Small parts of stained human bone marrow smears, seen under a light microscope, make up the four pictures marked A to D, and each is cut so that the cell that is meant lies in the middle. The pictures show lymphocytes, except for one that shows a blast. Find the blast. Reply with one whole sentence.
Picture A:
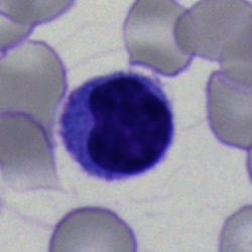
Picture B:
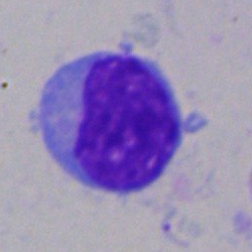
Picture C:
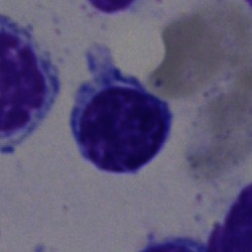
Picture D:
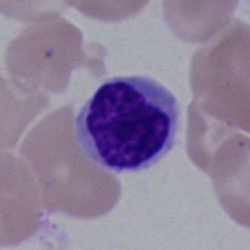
The picture with the blast is B.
